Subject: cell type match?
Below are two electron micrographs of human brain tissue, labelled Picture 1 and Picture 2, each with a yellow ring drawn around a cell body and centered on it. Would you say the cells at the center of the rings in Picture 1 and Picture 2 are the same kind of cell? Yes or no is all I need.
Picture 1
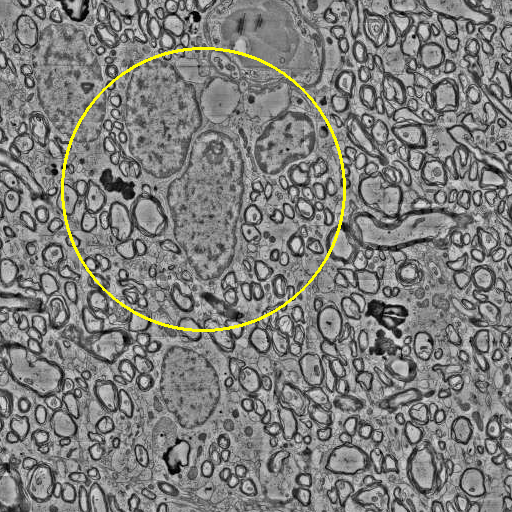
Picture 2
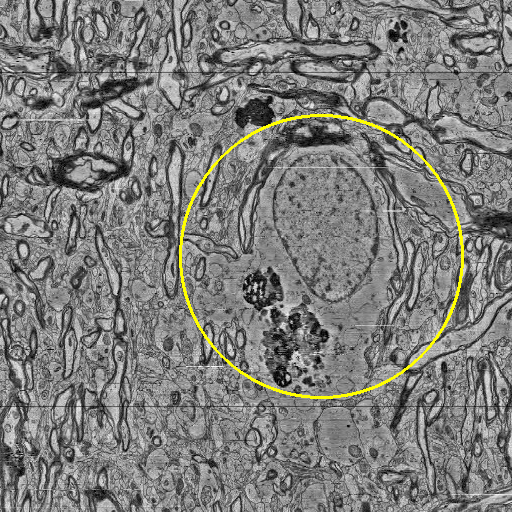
no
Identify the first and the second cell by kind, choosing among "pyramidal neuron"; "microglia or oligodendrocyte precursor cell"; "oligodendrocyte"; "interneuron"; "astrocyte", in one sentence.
The one in the first picture is an oligodendrocyte, while the one in the second is an astrocyte.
